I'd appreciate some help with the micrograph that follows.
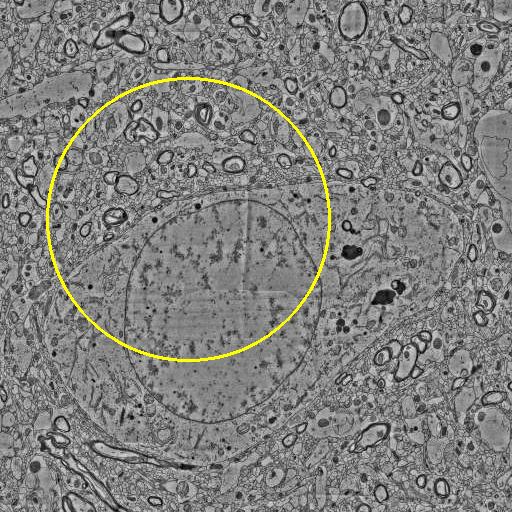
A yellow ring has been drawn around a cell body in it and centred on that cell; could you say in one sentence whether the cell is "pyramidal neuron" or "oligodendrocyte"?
It is a pyramidal neuron at the centre of the ring.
